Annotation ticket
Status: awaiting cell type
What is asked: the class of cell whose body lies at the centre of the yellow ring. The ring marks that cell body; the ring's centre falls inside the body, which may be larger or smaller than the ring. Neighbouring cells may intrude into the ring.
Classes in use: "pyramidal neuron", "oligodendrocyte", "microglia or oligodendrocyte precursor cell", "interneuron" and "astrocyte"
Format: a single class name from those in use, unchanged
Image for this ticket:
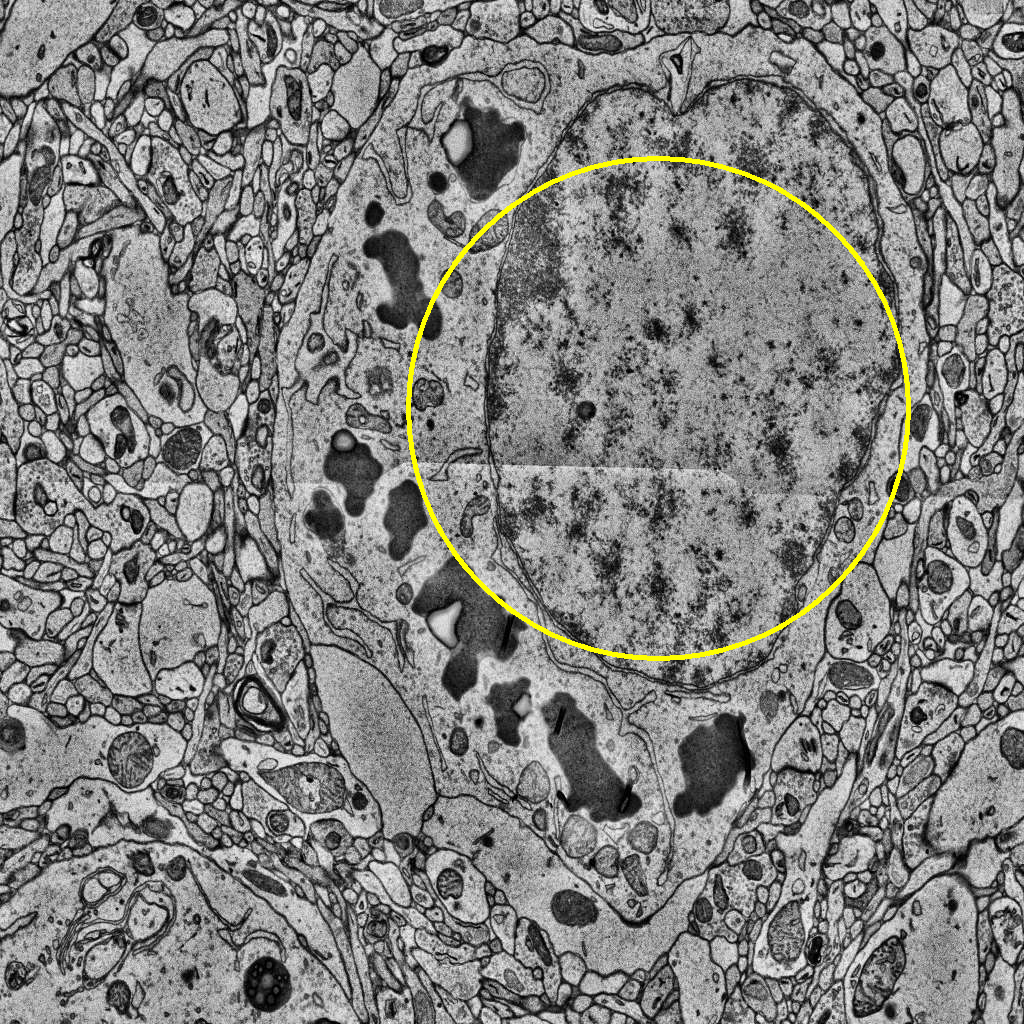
interneuron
